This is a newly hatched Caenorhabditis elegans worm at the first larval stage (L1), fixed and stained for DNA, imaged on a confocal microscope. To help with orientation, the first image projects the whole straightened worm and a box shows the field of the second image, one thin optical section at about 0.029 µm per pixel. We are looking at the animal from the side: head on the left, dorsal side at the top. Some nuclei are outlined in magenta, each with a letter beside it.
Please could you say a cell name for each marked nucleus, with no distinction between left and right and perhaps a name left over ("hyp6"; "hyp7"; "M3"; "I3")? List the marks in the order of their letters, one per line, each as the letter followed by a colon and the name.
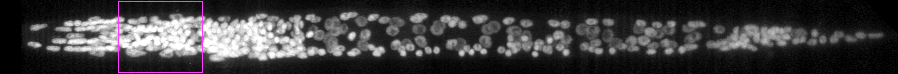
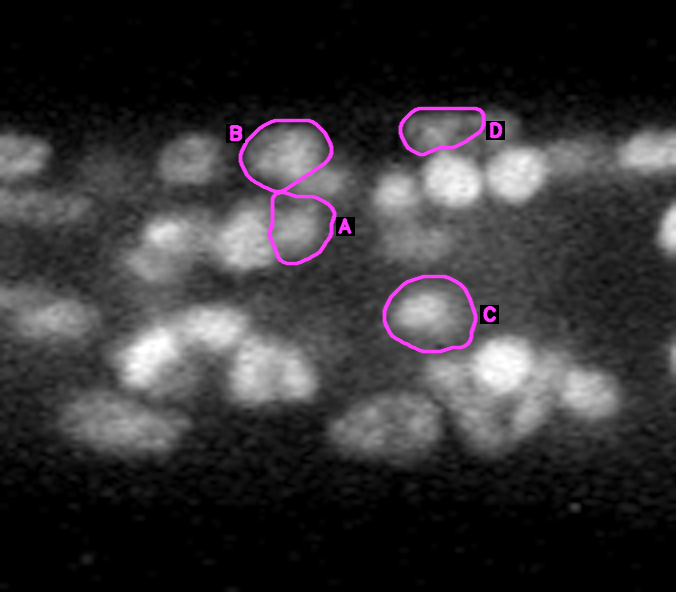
A: I3
B: hyp6
C: M3
D: hyp7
